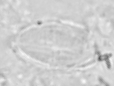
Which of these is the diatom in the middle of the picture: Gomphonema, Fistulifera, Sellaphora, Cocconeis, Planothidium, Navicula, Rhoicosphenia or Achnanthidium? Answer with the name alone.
Achnanthidium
